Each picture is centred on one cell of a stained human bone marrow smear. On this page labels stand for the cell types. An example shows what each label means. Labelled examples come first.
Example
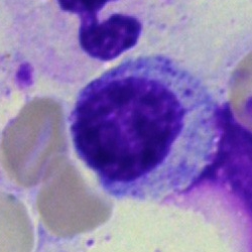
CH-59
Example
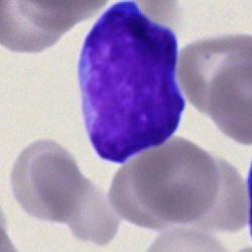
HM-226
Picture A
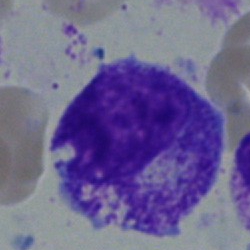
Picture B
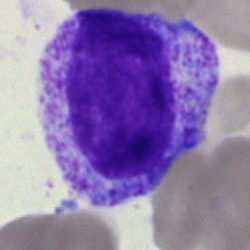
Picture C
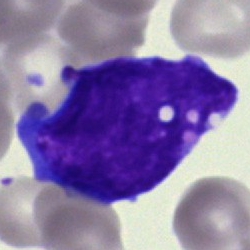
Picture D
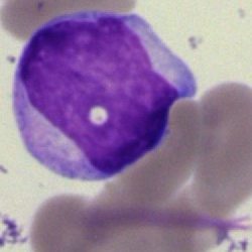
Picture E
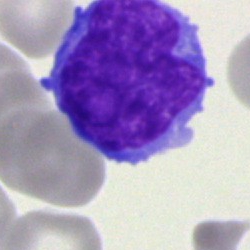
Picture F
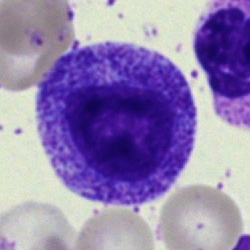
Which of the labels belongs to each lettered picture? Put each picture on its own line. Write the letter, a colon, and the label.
A: CH-59
B: CH-59
C: HM-226
D: HM-226
E: HM-226
F: CH-59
